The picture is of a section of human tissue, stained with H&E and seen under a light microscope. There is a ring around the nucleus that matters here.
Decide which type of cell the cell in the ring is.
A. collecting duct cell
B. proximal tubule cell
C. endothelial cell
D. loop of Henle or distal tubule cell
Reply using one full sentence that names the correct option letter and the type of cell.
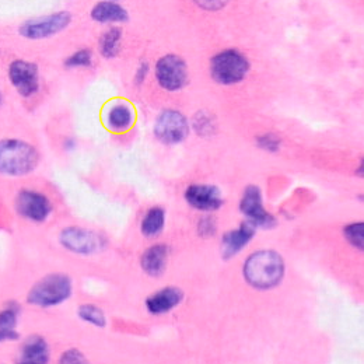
Option D is the correct one: the cell in the ring is a loop of Henle or distal tubule cell.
